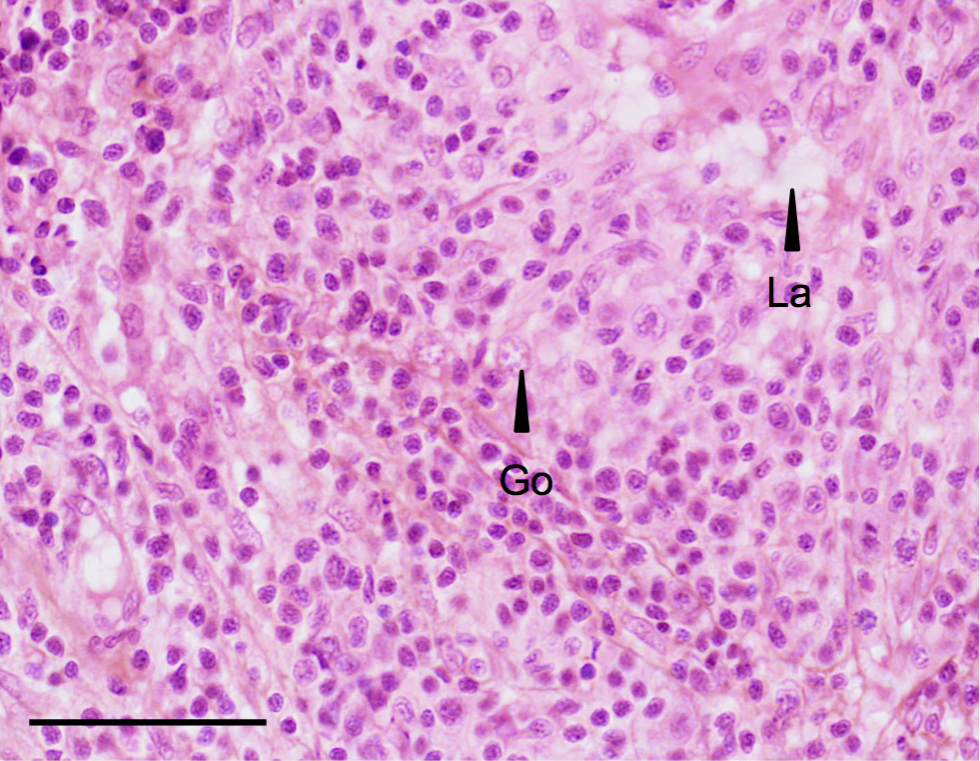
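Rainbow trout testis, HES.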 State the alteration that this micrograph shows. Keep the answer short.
loss of tubular arrangement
